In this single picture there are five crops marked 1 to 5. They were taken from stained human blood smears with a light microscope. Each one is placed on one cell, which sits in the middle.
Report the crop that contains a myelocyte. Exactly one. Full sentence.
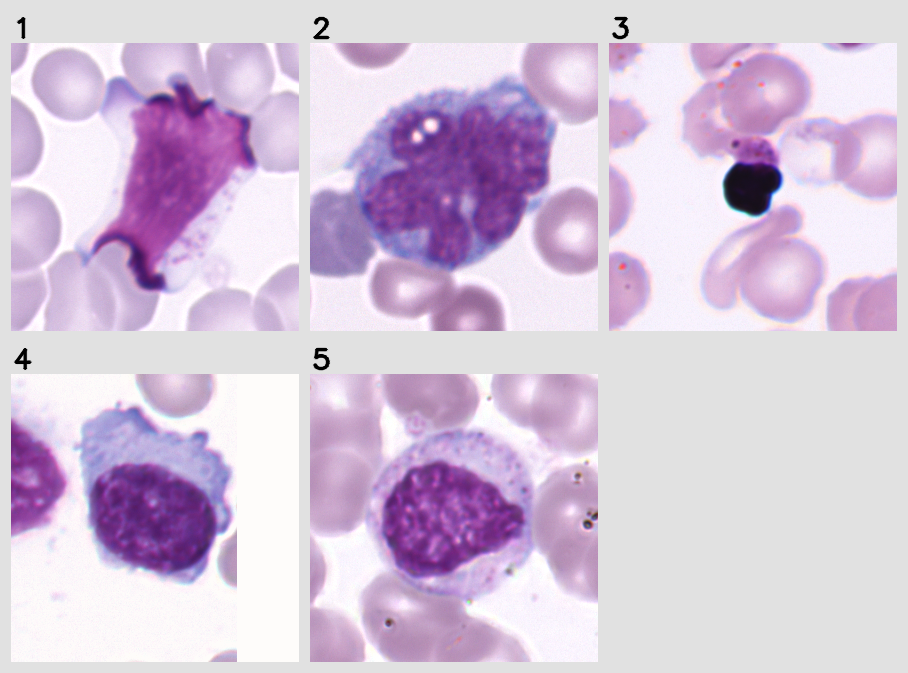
As for which crop shows a myelocyte, it is crop 5.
